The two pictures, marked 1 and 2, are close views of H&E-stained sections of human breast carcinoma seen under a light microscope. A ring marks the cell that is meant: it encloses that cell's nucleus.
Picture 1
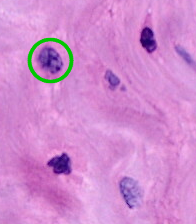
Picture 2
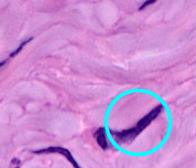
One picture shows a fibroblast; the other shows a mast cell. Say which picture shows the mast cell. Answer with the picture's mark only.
1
